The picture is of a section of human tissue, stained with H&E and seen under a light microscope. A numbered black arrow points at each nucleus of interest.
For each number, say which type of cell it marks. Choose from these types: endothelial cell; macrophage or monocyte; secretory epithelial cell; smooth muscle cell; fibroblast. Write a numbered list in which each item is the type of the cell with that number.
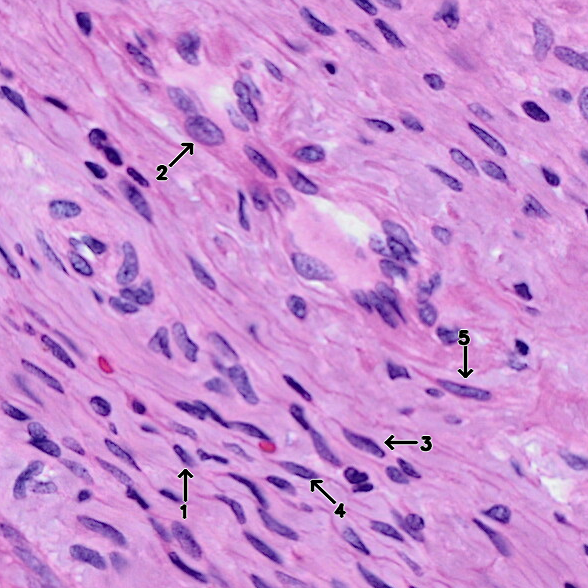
1. fibroblast
2. endothelial cell
3. fibroblast
4. fibroblast
5. smooth muscle cell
